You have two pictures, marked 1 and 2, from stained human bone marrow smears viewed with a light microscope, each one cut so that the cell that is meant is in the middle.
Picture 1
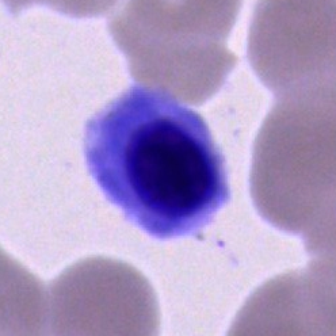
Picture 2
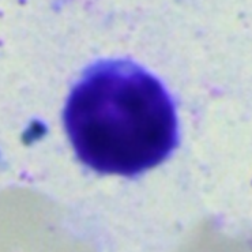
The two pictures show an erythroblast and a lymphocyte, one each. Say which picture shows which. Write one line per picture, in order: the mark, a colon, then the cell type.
1: erythroblast
2: lymphocyte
